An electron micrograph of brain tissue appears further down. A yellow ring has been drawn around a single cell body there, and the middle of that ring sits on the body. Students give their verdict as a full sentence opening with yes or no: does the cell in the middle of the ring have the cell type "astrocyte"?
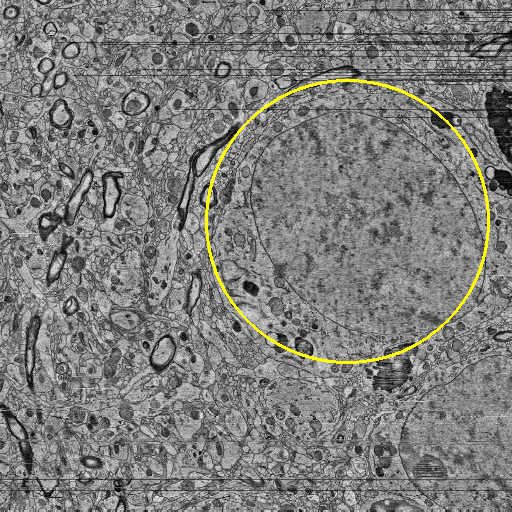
No, in this picture the cell sitting at the middle of the ring has a different cell type.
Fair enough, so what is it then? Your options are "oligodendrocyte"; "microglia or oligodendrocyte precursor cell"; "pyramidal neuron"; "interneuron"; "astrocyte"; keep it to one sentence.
The cell ringed in the picture is a pyramidal neuron.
